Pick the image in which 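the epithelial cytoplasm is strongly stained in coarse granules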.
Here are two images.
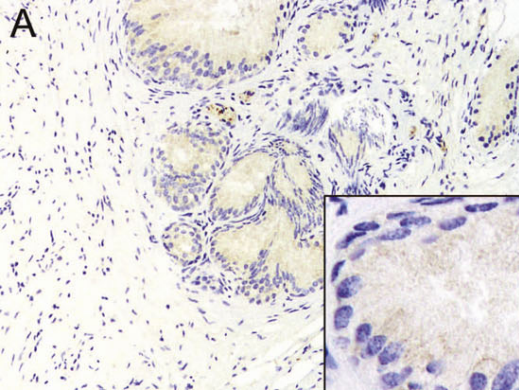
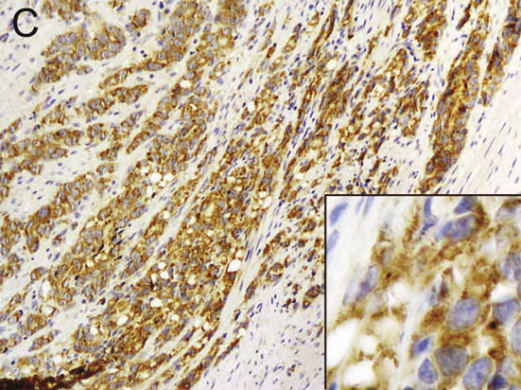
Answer: The second image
